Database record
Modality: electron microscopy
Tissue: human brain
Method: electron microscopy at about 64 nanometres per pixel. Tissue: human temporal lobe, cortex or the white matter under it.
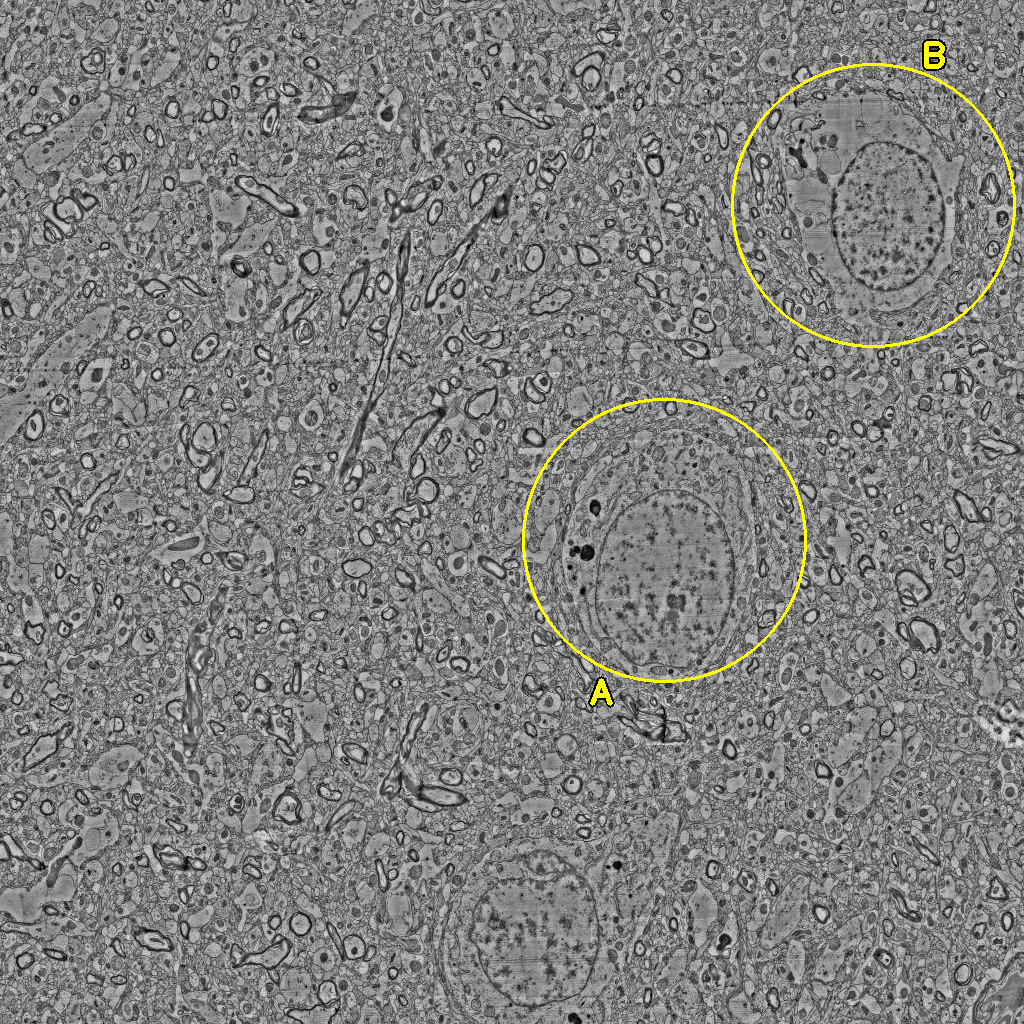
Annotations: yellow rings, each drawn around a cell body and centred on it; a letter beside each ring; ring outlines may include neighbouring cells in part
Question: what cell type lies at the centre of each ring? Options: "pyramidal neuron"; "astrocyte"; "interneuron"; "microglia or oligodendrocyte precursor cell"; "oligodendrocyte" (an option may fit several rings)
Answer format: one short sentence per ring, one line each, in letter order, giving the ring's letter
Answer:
Ring A corresponds to a pyramidal neuron.
Ring B corresponds to an astrocyte.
